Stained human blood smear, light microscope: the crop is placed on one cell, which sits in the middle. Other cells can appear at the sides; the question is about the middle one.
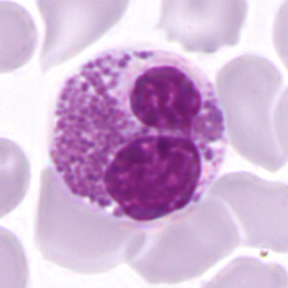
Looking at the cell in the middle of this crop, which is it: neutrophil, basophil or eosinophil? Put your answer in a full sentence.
For this crop, the central cell is an eosinophil.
